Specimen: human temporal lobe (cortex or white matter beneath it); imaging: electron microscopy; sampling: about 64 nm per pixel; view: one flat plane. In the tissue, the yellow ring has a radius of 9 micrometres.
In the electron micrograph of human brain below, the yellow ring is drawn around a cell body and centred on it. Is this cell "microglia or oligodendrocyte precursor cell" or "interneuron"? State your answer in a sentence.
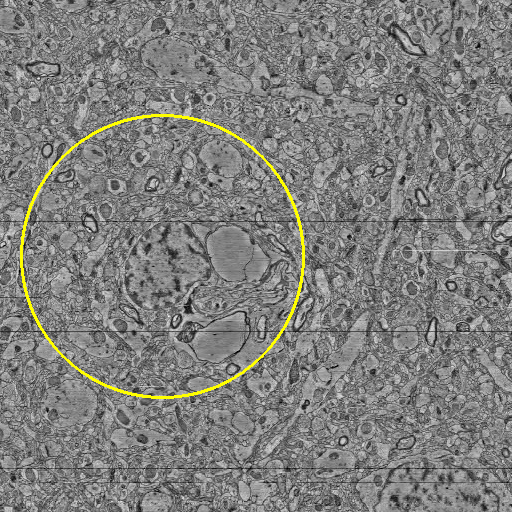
The cell in the middle of the ring is a microglial cell or oligodendrocyte precursor cell.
